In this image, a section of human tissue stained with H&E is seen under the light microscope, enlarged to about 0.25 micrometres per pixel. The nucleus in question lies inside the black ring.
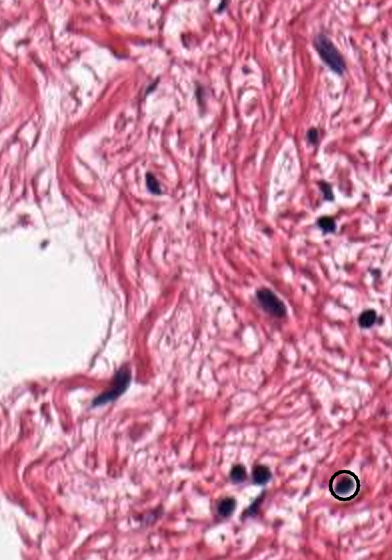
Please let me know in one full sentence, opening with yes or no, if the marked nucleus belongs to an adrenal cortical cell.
No, not an adrenal cortical cell but a supporting cell is the owner of the marked nucleus.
